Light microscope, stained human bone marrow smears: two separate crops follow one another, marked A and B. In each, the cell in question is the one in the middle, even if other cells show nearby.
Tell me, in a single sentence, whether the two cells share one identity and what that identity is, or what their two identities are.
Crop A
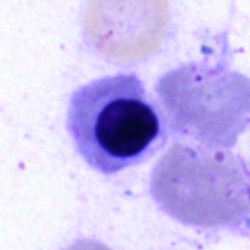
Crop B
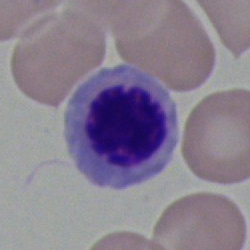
Yes, at the centre of both crops are erythroblasts.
